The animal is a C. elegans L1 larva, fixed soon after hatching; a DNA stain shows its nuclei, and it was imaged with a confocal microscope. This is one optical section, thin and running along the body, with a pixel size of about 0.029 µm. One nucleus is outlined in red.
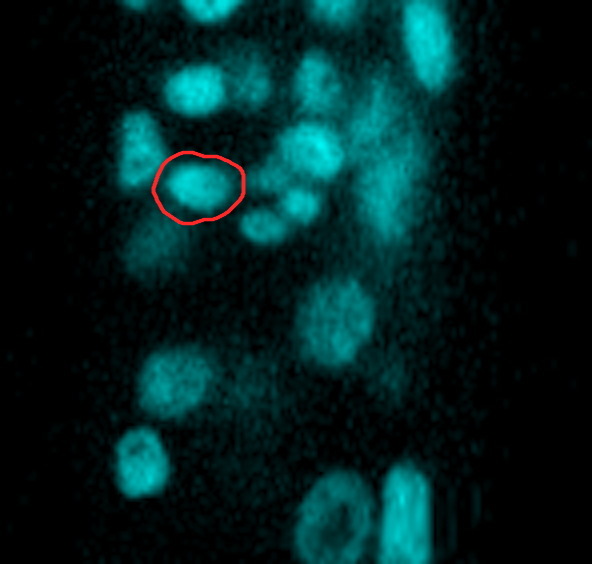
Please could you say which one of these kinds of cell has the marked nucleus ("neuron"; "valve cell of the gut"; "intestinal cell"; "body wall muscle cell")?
valve cell of the gut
